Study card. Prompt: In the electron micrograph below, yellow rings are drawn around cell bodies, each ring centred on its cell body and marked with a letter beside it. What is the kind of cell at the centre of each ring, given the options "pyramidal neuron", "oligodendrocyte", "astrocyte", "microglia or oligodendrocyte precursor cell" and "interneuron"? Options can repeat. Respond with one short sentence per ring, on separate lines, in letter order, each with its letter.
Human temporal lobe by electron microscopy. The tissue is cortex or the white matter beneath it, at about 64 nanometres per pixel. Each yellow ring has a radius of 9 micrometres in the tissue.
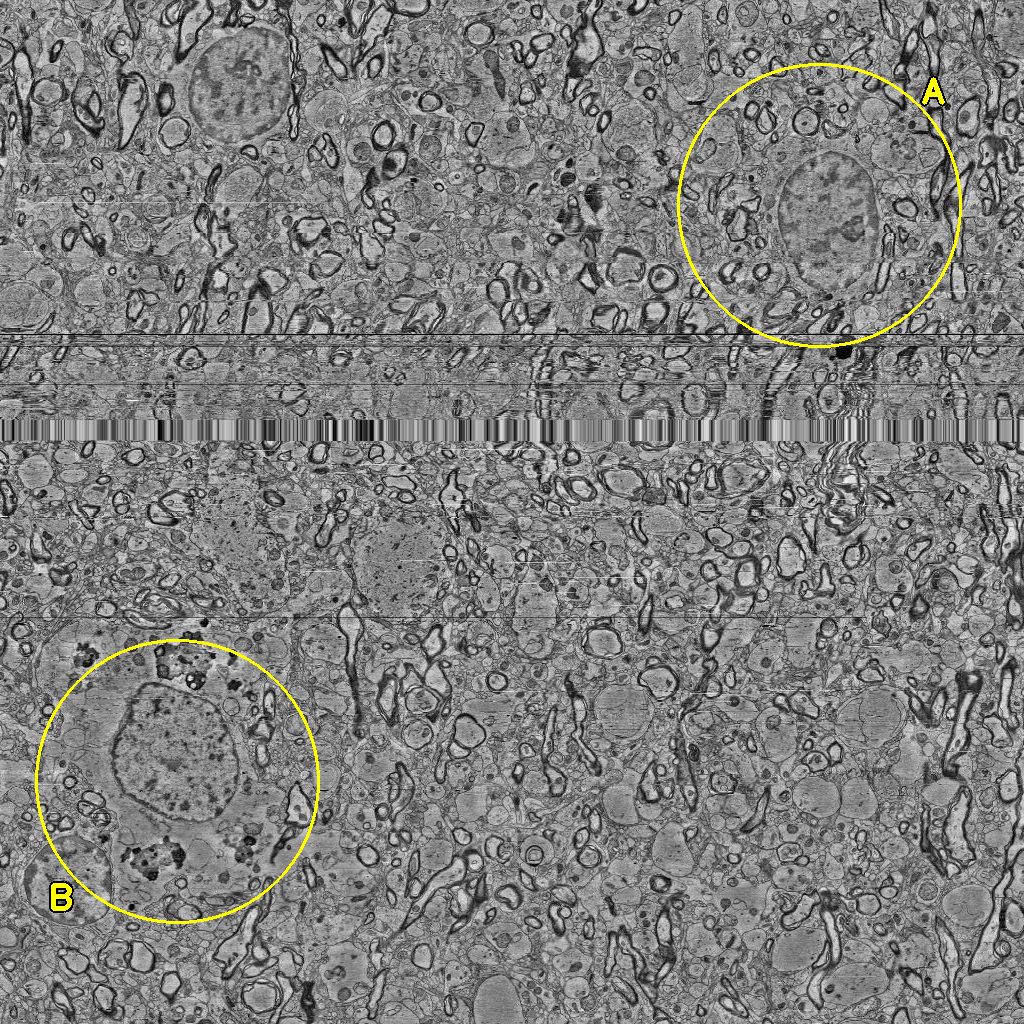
Ring A outlines an oligodendrocyte.
Ring B outlines an astrocyte.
